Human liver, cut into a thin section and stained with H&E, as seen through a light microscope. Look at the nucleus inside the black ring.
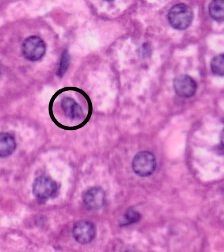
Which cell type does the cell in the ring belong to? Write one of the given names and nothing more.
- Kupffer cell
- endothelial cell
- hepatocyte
Kupffer cell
